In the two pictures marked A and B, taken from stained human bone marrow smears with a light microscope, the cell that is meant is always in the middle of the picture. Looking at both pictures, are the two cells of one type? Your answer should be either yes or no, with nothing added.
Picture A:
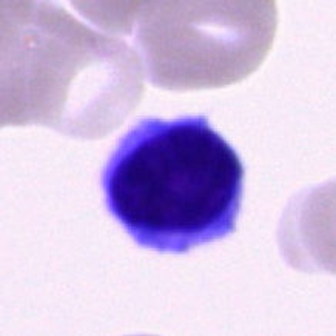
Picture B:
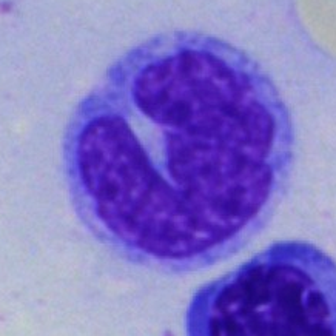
no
